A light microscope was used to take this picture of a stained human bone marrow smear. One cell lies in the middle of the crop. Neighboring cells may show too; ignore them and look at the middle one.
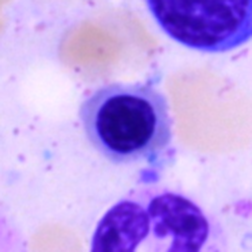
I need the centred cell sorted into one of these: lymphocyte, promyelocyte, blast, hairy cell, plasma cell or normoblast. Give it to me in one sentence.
To answer, the cell in the center of the crop is a normoblast.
